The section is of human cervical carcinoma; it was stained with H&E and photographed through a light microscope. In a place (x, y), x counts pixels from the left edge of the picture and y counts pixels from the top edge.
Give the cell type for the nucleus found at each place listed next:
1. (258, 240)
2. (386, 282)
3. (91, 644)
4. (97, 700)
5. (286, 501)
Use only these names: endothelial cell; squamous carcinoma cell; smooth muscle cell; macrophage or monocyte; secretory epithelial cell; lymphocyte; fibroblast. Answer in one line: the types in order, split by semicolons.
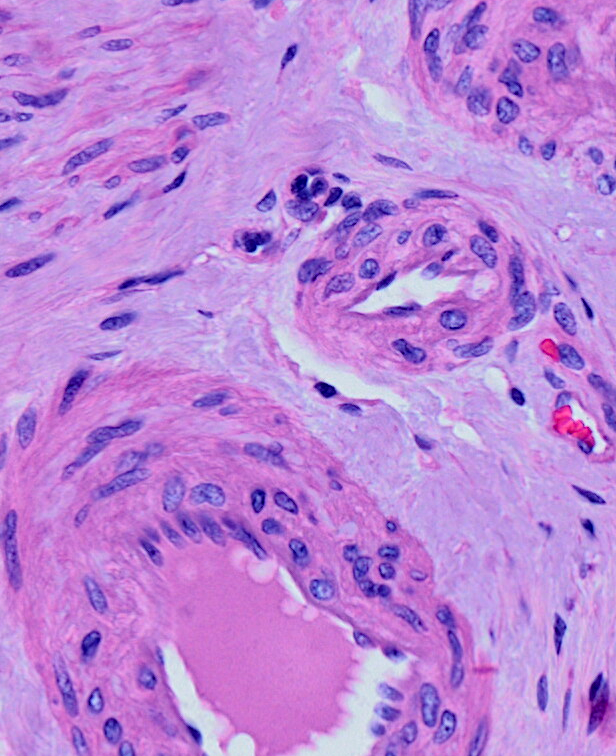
endothelial cell; endothelial cell; smooth muscle cell; smooth muscle cell; smooth muscle cell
